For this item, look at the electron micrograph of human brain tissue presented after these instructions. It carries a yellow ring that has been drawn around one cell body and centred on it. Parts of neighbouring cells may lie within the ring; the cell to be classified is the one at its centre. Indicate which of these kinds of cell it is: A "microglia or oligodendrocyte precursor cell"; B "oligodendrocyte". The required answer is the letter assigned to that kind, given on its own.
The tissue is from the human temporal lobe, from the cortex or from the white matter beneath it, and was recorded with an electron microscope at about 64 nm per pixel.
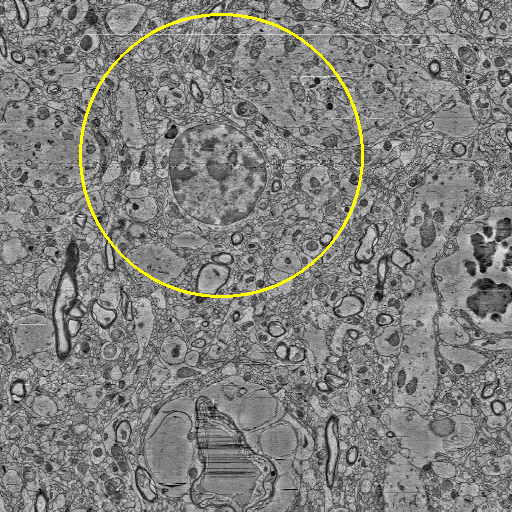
A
